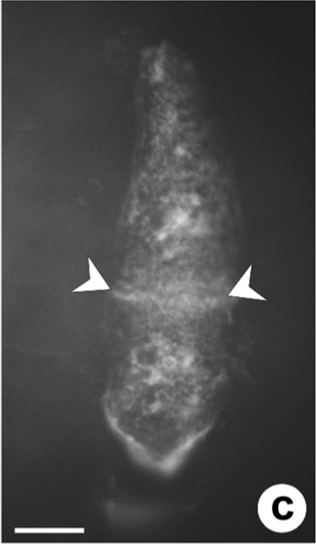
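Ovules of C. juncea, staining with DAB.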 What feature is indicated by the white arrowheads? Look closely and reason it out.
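A thin faint bright line crosses the cell at mid-height. So: plate cell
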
